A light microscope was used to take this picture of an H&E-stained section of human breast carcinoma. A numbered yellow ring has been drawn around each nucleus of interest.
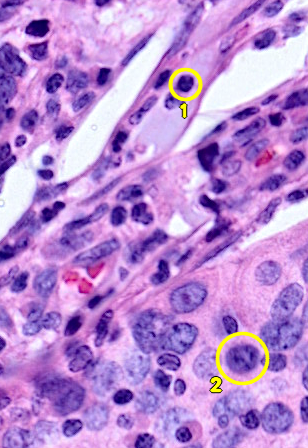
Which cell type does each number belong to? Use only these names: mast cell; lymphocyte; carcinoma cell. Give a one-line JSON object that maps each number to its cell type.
{"1": "lymphocyte", "2": "carcinoma cell"}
